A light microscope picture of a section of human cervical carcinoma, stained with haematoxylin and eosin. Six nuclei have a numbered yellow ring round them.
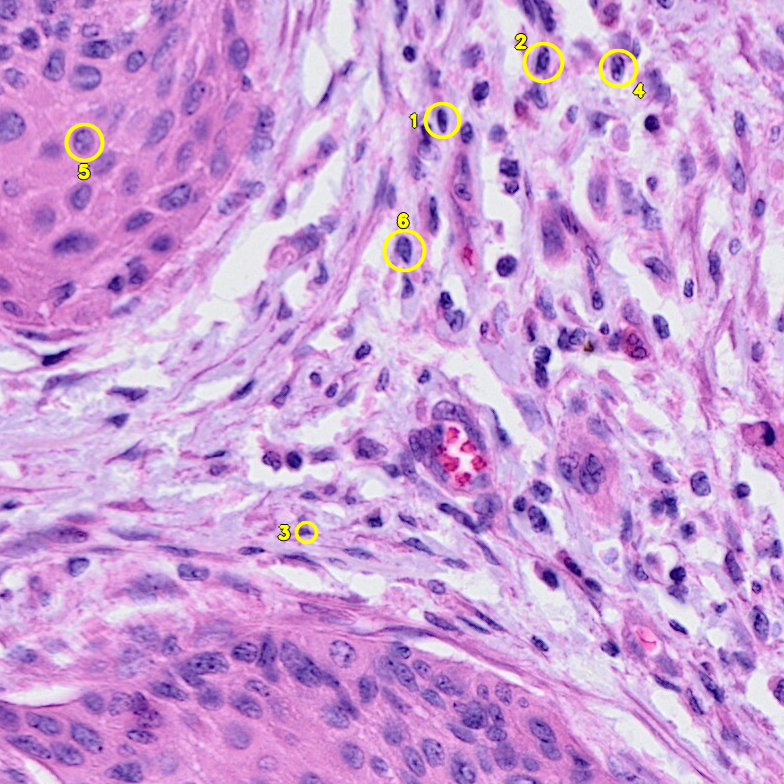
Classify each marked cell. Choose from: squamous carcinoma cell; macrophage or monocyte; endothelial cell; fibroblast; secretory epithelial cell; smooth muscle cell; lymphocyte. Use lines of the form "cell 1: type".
cell 1: lymphocyte
cell 2: lymphocyte
cell 3: fibroblast
cell 4: lymphocyte
cell 5: squamous carcinoma cell
cell 6: lymphocyte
